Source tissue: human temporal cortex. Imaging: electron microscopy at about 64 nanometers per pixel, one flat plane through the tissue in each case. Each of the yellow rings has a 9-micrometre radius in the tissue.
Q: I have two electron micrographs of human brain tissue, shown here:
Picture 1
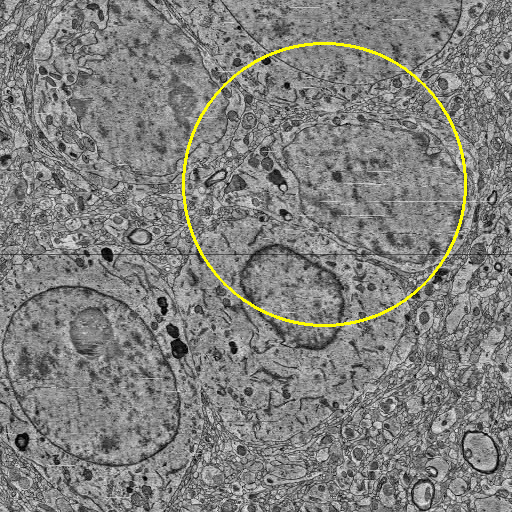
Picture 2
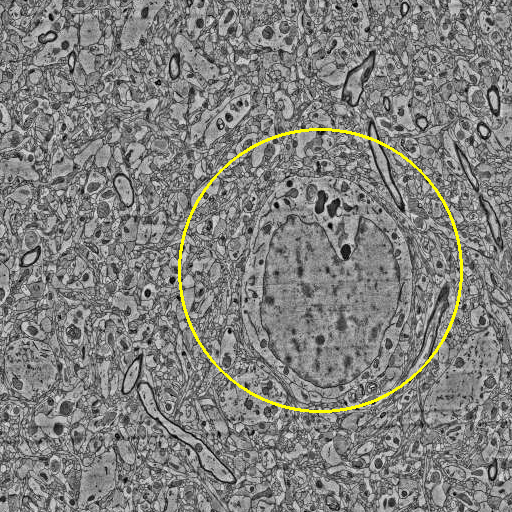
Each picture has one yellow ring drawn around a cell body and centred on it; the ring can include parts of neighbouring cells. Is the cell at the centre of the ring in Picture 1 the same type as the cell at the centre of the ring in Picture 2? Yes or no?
yes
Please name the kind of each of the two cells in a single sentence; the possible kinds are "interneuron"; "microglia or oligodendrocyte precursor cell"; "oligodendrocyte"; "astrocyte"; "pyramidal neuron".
The ring centre holds an interneuron in each of the two pictures.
